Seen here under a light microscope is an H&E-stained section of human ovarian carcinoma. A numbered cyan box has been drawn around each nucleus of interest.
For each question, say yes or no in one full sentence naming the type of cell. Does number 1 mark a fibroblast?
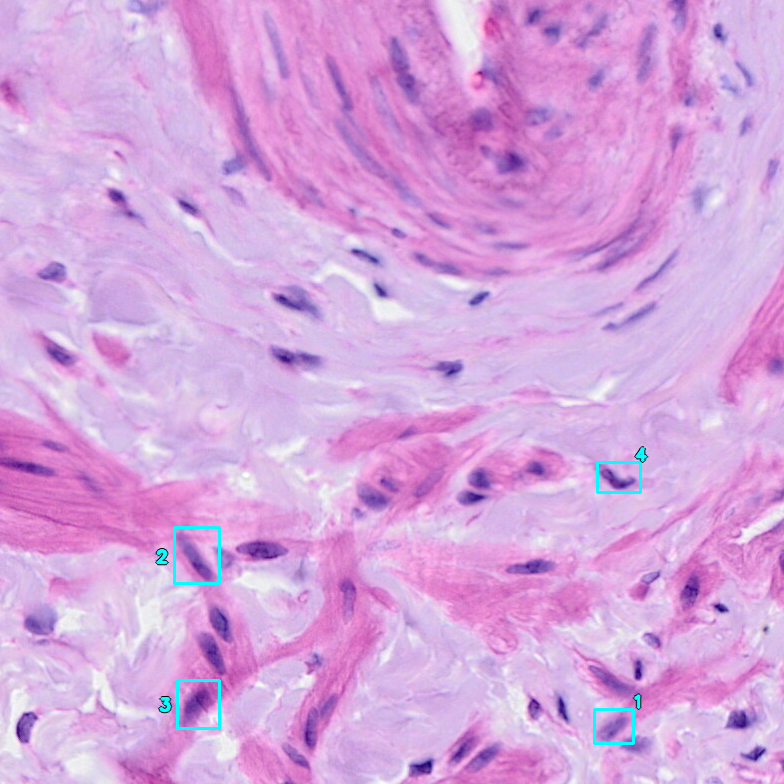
No, sorry, the cell labelled 1 is not a fibroblast; it is a smooth muscle cell.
